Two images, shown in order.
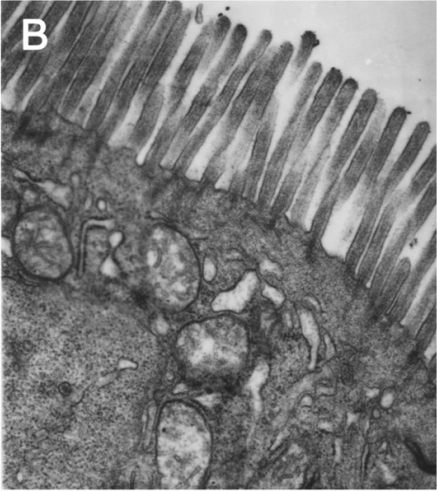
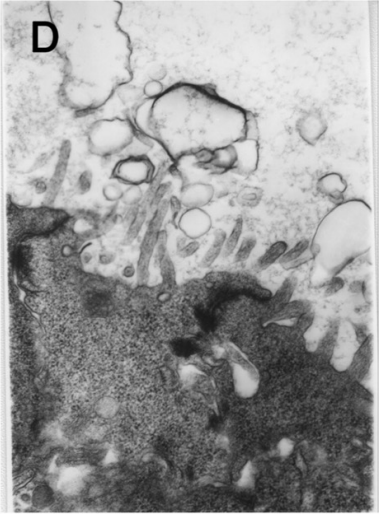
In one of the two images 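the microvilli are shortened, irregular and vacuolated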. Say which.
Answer: The second image.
